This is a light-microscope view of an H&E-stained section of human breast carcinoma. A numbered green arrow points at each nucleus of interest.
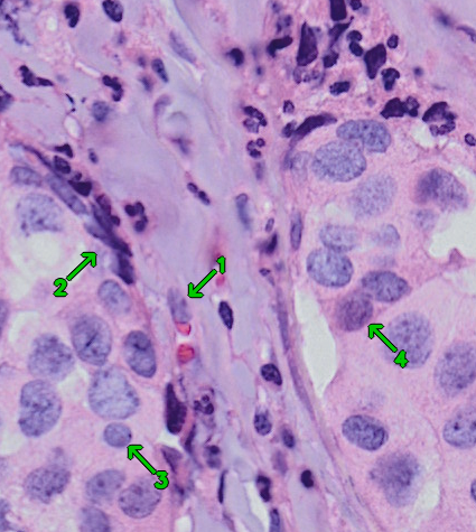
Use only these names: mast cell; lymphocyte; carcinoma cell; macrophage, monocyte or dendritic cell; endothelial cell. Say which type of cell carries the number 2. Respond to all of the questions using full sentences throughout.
Here, the cell given the number 2 is a carcinoma cell.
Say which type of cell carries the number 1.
Cell 1 in the field of view is an endothelial cell.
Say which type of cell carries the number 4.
It is as a carcinoma cell that the cell numbered 4 is identified.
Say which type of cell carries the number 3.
The cell referenced by the number 3 is a carcinoma cell in this field.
